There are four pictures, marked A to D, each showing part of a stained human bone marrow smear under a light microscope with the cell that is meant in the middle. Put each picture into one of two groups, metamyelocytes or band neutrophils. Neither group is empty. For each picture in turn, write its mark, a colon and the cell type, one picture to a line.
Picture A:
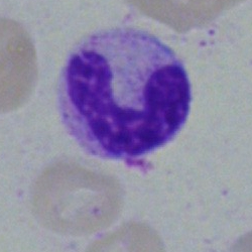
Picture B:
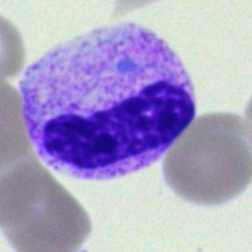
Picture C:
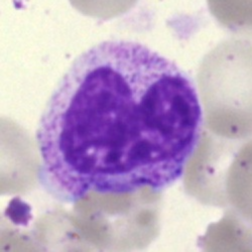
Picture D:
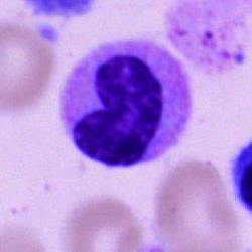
A: band neutrophil
B: band neutrophil
C: band neutrophil
D: metamyelocyte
